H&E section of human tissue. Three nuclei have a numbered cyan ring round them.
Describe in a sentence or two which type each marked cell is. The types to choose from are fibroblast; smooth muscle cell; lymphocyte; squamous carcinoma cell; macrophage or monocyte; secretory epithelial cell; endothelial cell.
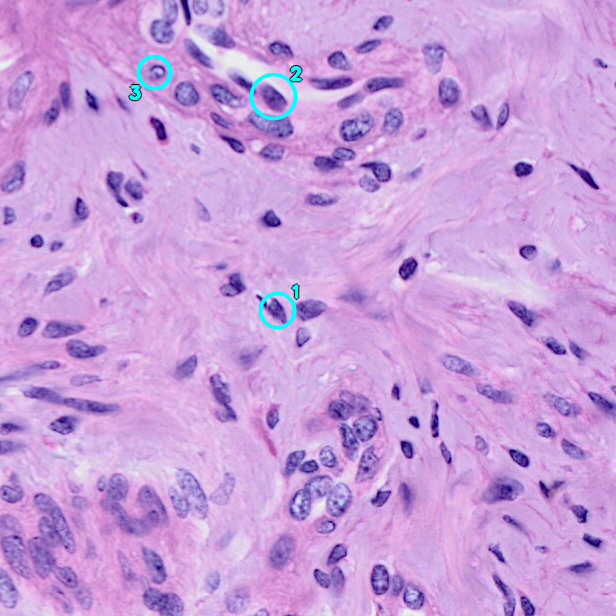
Cell 1 is a fibroblast, cell 2 is an endothelial cell and cell 3 is a smooth muscle cell.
